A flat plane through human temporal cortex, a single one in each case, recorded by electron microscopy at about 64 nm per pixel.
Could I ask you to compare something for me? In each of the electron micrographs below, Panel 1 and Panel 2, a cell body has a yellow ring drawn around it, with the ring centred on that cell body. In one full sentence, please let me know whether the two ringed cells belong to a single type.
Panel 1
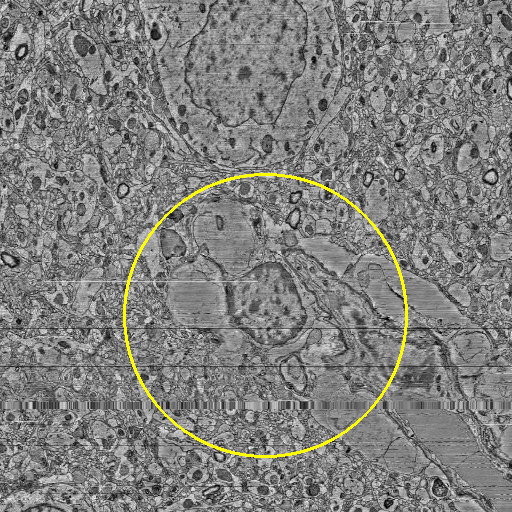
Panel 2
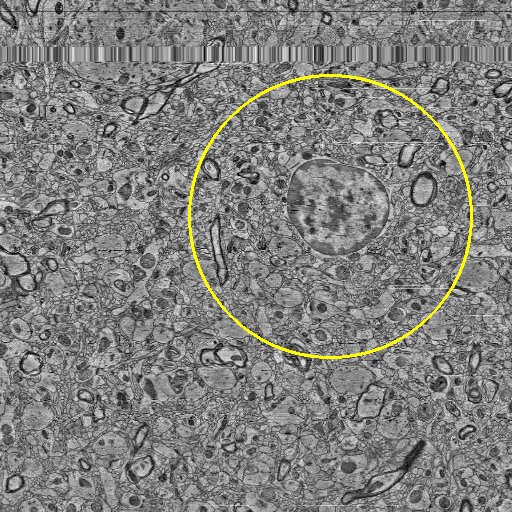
Yes, the two cells at the centres of the rings are of one type.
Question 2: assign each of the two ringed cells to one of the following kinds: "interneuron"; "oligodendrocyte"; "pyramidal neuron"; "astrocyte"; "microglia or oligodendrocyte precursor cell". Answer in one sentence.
In the first picture and in the second, the ring is centred on a microglial cell or oligodendrocyte precursor cell.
